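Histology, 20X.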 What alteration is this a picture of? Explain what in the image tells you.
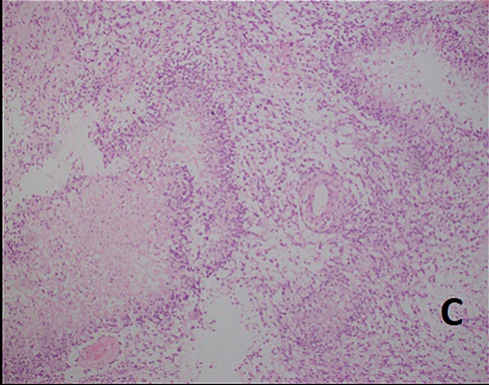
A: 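Dense cellular tumor tissue with pale acellular zones. Tumor nuclei crowd in bands along the edges of the pale zones. A thick-walled blood vessel lies within the tumor. So: Glioblastoma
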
